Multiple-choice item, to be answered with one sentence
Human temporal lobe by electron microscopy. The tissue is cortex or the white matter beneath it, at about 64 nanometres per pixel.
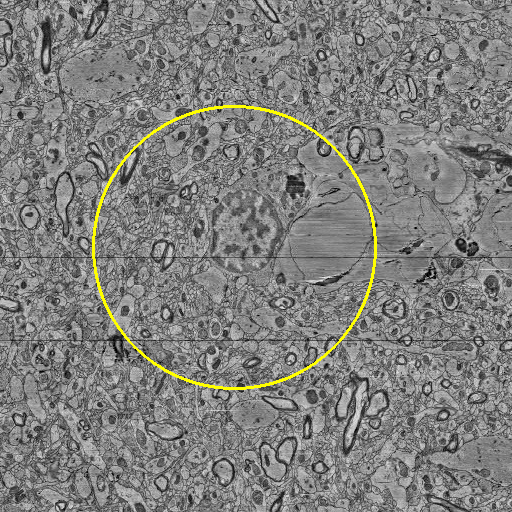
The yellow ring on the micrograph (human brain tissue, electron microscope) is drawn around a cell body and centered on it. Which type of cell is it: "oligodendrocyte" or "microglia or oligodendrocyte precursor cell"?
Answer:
The ring is centered on an oligodendrocyte.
